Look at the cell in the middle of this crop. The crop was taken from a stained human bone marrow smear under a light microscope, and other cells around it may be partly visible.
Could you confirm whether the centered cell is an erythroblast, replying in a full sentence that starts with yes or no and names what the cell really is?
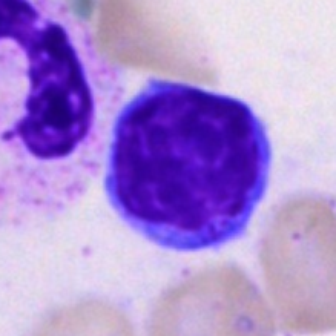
No, the central cell does not count as an erythroblast; it is a lymphocyte.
